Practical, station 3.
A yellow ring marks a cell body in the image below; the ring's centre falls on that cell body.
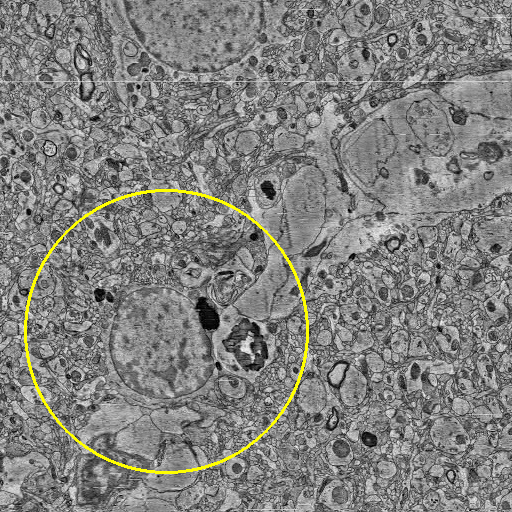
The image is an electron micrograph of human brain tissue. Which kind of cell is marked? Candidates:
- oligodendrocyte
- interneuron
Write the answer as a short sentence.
The marked cell body is that of an oligodendrocyte.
